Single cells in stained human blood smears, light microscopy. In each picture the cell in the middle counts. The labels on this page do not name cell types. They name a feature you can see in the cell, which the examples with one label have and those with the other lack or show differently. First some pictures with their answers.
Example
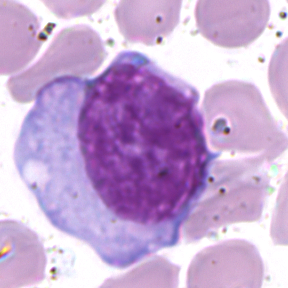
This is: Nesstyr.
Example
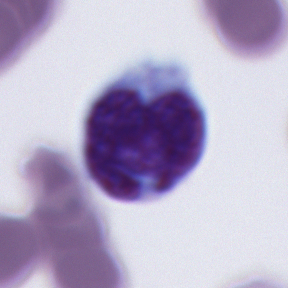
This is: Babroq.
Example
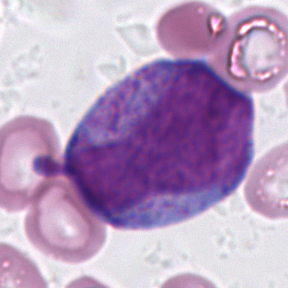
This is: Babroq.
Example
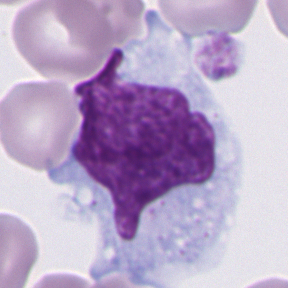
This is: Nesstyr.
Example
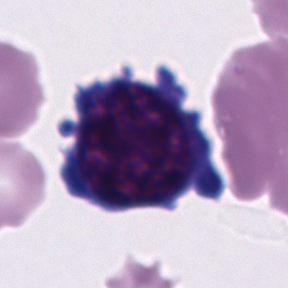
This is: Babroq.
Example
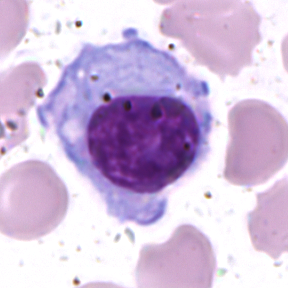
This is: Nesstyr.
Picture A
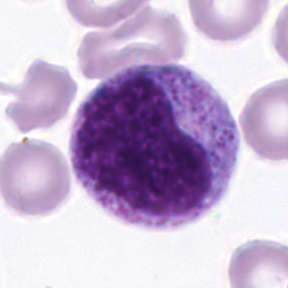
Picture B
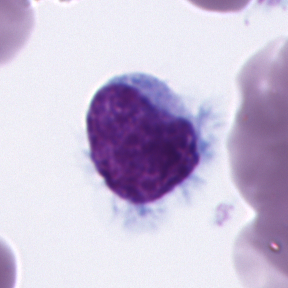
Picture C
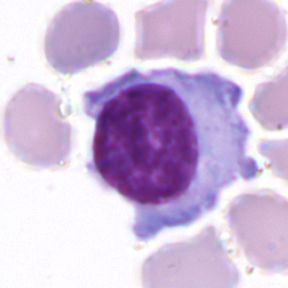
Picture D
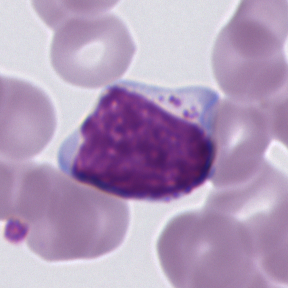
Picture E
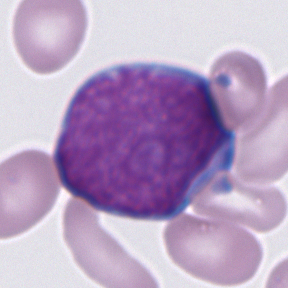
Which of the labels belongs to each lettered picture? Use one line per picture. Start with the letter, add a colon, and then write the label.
A: Babroq.
B: Babroq.
C: Nesstyr.
D: Babroq.
E: Babroq.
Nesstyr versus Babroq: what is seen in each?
Seen in Nesstyr: abundant cytoplasm; seen in Babroq: scant cytoplasm.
